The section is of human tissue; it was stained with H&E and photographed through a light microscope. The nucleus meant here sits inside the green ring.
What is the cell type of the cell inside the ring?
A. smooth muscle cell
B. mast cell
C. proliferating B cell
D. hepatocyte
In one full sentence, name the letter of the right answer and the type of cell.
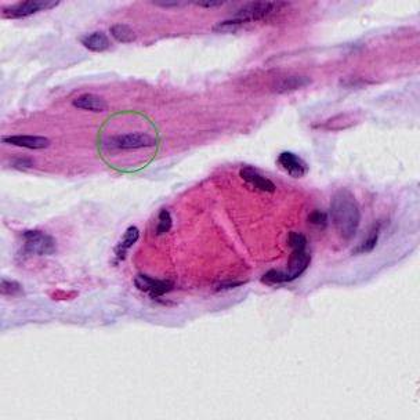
Option A is correct here; the cell inside the ring is a smooth muscle cell.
